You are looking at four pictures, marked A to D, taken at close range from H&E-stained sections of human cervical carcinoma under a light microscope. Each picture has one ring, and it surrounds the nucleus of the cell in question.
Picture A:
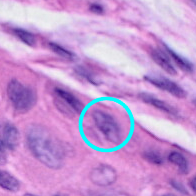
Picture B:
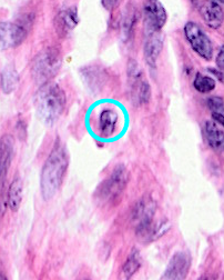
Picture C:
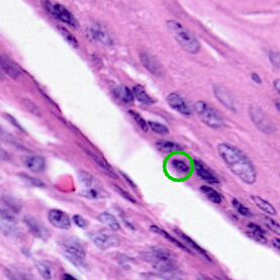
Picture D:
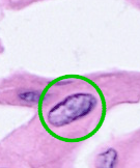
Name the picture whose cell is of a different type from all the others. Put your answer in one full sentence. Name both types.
All pictures except B show squamous carcinoma cells; picture B shows a “macrophage or monocyte”.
